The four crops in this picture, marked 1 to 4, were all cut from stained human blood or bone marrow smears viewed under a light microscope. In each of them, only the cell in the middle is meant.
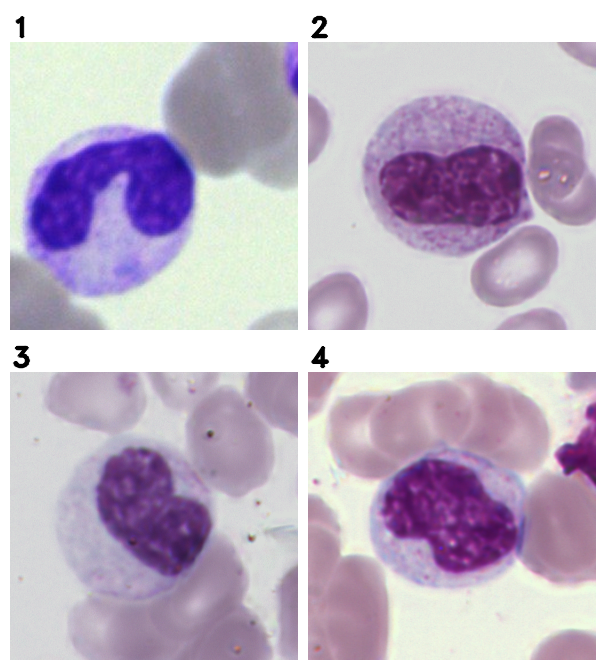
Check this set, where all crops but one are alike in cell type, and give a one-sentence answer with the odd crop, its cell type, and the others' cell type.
In every crop except crop 1, which shows a band neutrophil, metamyelocytes are shown.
